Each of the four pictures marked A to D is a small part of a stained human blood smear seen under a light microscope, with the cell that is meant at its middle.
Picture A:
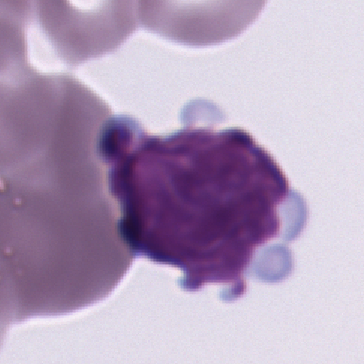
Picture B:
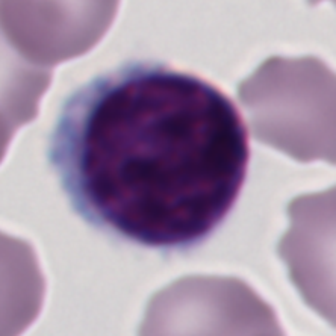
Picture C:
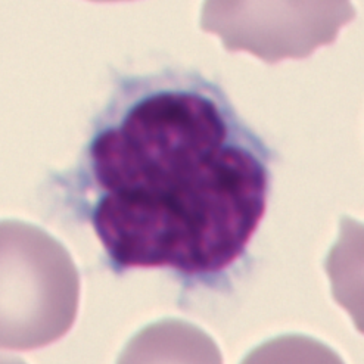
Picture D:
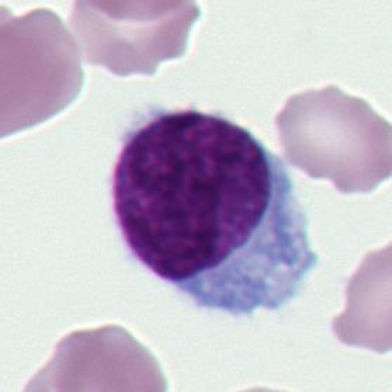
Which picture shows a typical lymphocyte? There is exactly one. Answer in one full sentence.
The picture with the typical lymphocyte is A.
